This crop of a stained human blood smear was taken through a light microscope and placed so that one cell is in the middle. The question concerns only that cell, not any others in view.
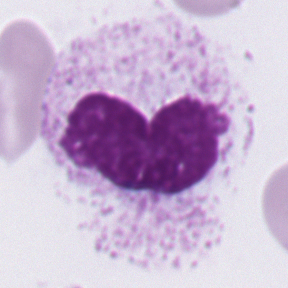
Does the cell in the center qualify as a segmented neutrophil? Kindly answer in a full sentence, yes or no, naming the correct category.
No, the cell in the middle should be called a band neutrophil instead of a segmented neutrophil.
